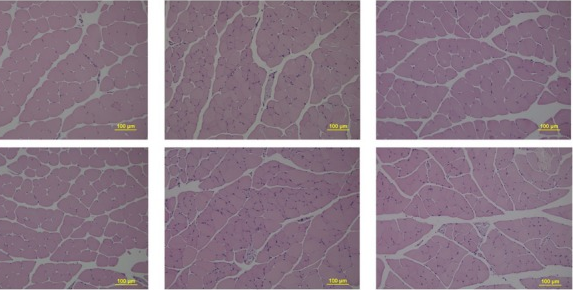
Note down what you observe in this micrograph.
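These are transverse sections of skeletal muscle, with the fibers cut across as pink, closely packed polygonal profiles. Small dark nuclei sit mostly at the edges of the fibers, and narrow pale gaps separate groups of fibers. Fiber size and shape vary somewhat from one section to the next.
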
